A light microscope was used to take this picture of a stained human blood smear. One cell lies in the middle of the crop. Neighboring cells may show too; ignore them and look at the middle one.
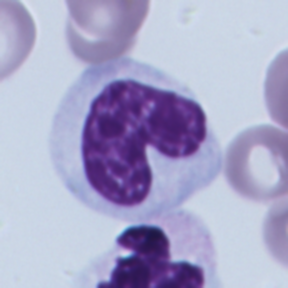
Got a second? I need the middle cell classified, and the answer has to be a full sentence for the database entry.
Positioned in the middle of the crop is a band neutrophil.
